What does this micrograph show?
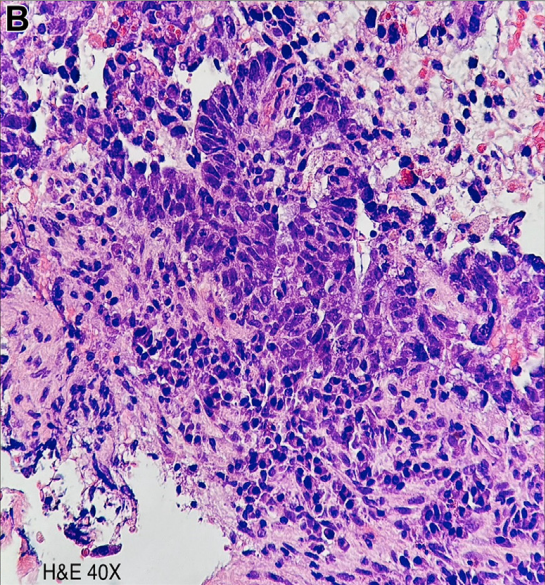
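This is a high-power view of a malignant tumor in which crowded, pleomorphic tumor cells form sheets and cords. The nuclei are large, dark purple and vary considerably in size and shape, some oval, some angulated or elongated. Cytoplasm is scant and pale violet, so the nuclei take up most of each cell. The tumor cells sit against looser pink stroma with scattered red blood cells toward the upper right.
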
